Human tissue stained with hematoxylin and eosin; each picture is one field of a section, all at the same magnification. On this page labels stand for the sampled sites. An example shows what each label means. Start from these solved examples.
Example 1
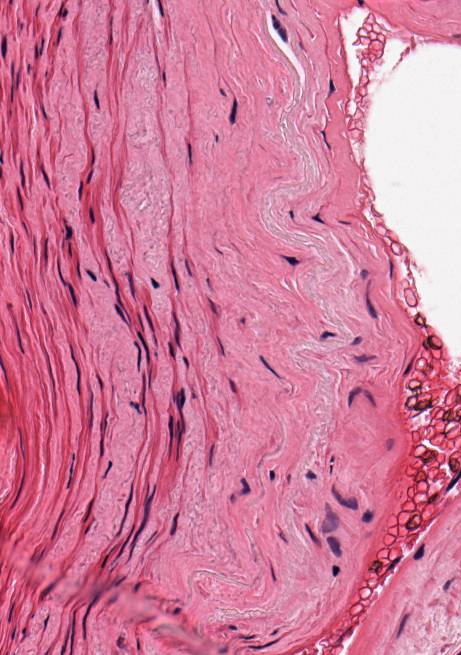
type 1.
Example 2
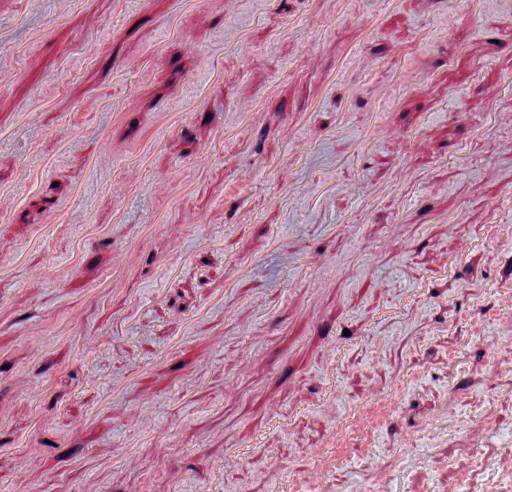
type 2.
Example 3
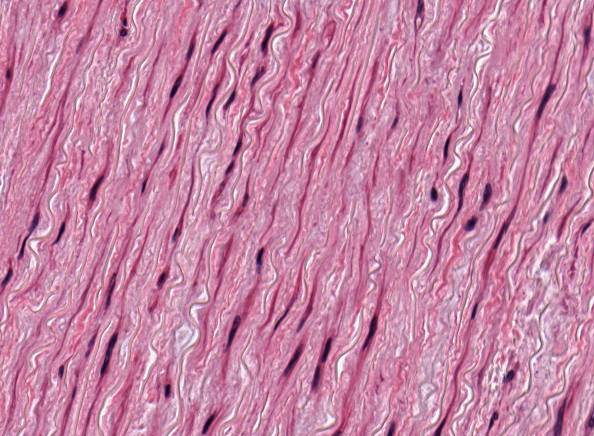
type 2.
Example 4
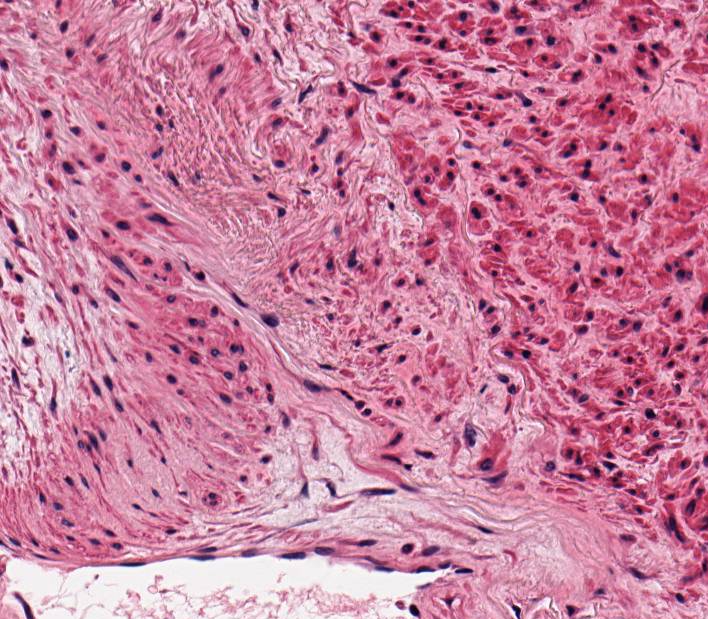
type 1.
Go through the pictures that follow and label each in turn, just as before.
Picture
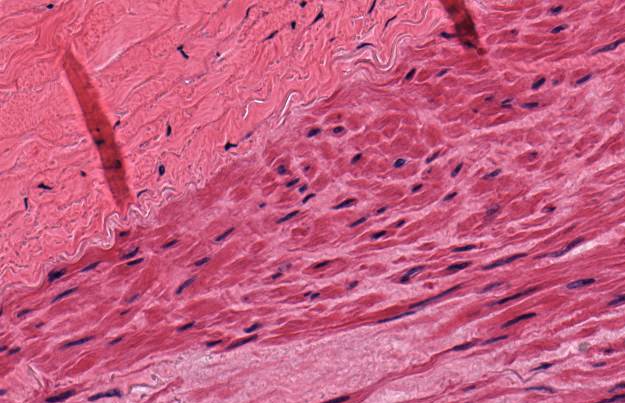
type 1.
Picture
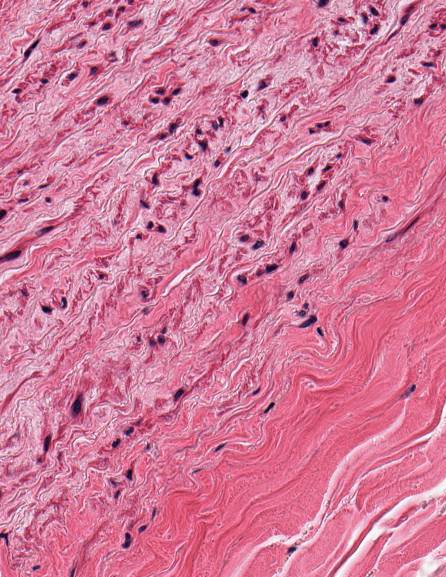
type 2.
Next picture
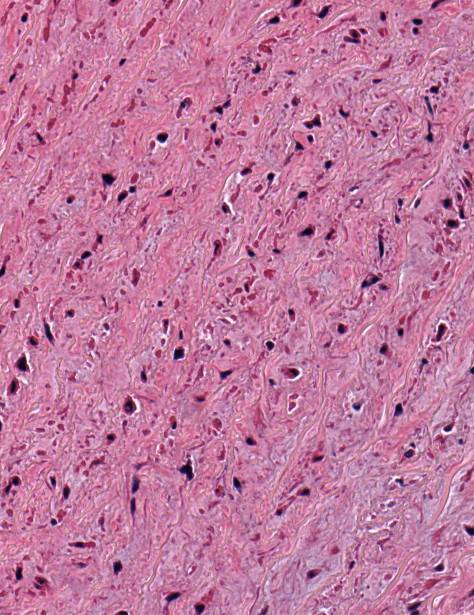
type 2.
